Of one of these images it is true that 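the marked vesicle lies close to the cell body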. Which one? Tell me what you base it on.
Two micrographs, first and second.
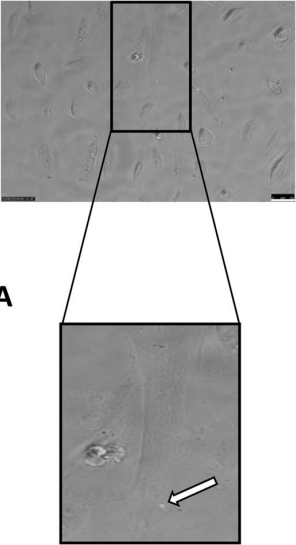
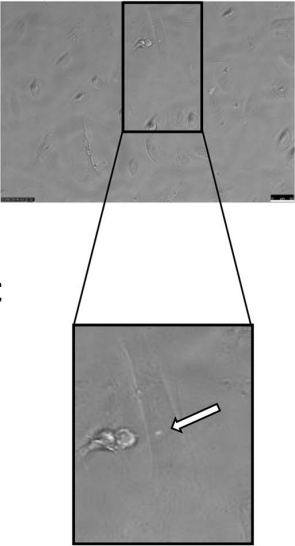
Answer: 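Second image: the bright dot at the arrow lies just beside the rounded cell body. First image: the bright dot at the arrow lies well away from the rounded cell body, out in the flat cell. That points to this answer: the second image.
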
